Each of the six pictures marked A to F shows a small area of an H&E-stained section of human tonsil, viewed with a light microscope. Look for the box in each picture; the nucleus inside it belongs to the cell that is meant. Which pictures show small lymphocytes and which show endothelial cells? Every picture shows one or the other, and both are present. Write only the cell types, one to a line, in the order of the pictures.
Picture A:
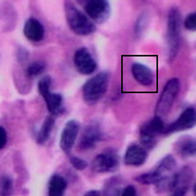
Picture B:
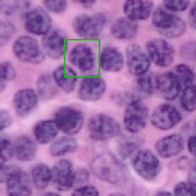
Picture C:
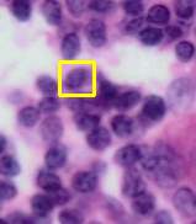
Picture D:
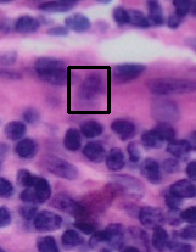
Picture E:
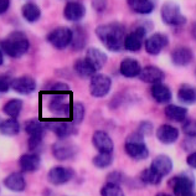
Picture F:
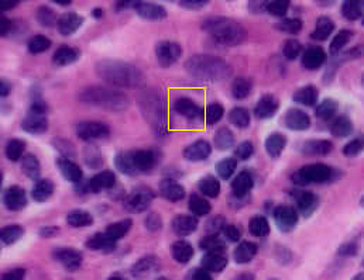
endothelial cell
small lymphocyte
small lymphocyte
endothelial cell
small lymphocyte
endothelial cell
